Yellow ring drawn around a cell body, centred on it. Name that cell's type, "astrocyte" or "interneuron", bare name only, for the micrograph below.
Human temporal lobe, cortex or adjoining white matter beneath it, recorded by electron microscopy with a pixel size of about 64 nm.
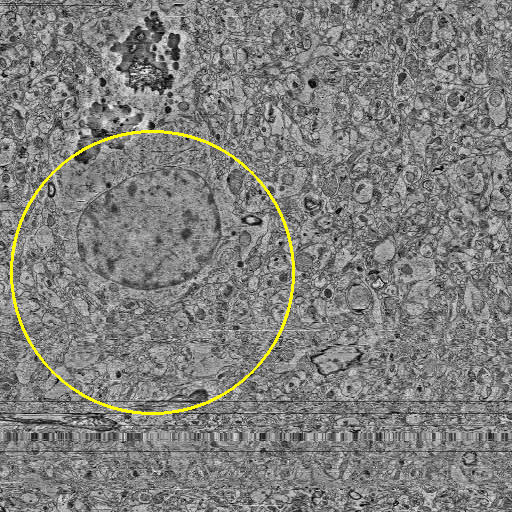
astrocyte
